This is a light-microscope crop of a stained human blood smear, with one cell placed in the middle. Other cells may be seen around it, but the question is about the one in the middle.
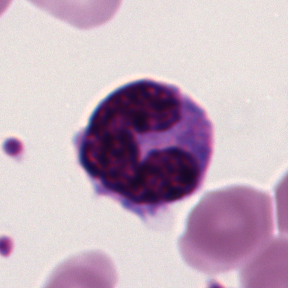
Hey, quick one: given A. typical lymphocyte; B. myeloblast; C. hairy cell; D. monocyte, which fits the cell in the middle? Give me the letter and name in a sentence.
The correct response is option D, naming the cell in the middle as a monocyte.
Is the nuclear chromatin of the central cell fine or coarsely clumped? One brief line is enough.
Its nuclear chromatin is gathered into coarse clumps.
